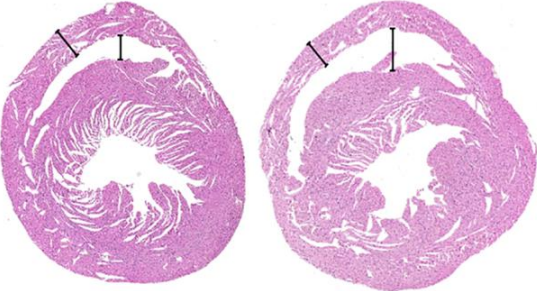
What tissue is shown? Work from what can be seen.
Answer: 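Two round cross-sections of a whole organ stained pink-purple. Each section has a thick muscular wall around a central lumen lined by trabeculae. A thinner chamber wall crosses the upper part of each section. On this evidence: heart.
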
